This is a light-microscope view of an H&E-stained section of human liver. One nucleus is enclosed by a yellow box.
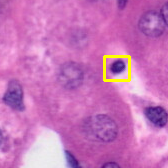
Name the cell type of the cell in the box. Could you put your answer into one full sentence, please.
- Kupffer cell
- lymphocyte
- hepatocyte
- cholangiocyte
Within the stained tissue, the cell in the box is a lymphocyte.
